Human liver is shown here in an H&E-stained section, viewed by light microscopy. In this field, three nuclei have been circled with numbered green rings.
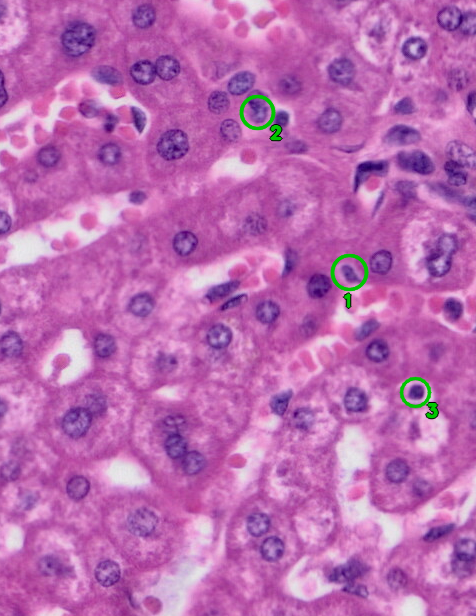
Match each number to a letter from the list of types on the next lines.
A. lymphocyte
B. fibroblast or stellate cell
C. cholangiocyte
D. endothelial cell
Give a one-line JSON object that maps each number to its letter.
{"1": "B", "2": "C", "3": "A"}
